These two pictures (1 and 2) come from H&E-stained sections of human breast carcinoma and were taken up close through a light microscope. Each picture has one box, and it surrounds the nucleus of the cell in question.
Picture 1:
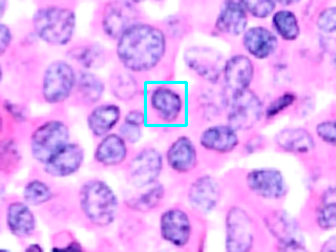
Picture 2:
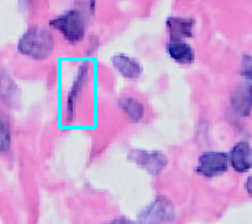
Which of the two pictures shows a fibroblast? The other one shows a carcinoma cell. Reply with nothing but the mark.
2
